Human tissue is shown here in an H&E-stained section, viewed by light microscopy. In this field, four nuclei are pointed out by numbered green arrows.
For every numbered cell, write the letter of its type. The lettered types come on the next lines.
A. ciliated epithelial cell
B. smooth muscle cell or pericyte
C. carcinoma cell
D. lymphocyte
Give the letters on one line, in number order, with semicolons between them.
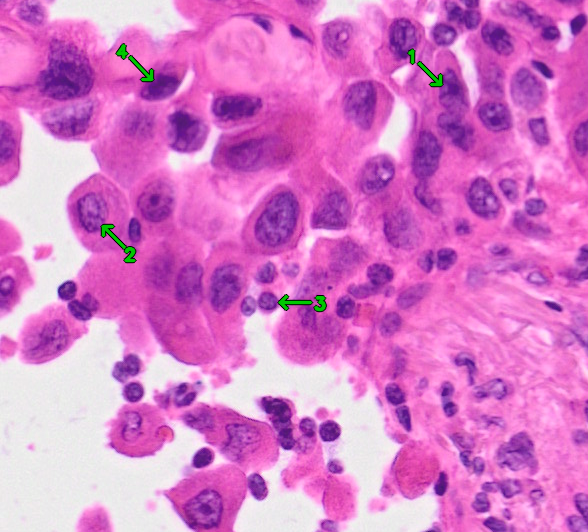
C; C; D; C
